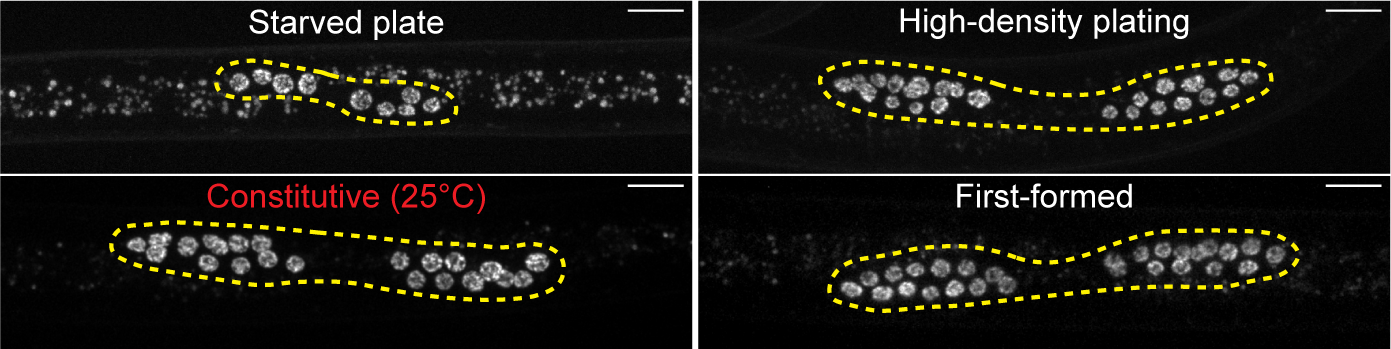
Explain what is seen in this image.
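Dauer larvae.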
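The gonad is elongated with two lobes, and each lobe is packed with large, round germ cell nuclei that have a speckled texture. The number of nuclei differs between the images: some gonads hold only a few nuclei in each lobe, while others are longer and more crowded.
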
